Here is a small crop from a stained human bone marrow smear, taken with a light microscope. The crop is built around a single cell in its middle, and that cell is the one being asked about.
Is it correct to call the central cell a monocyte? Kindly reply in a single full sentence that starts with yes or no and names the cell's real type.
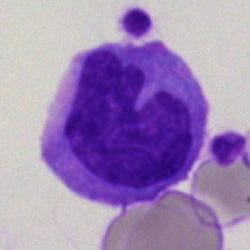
Yes, the cell in the central position is a monocyte.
